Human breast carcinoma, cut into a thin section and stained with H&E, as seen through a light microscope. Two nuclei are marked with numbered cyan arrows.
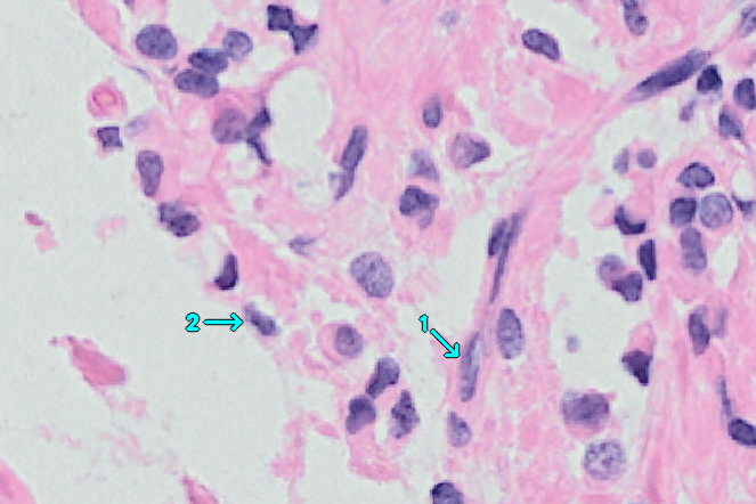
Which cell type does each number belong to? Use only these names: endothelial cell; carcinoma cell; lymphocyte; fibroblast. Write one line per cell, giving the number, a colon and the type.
1: endothelial cell
2: fibroblast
